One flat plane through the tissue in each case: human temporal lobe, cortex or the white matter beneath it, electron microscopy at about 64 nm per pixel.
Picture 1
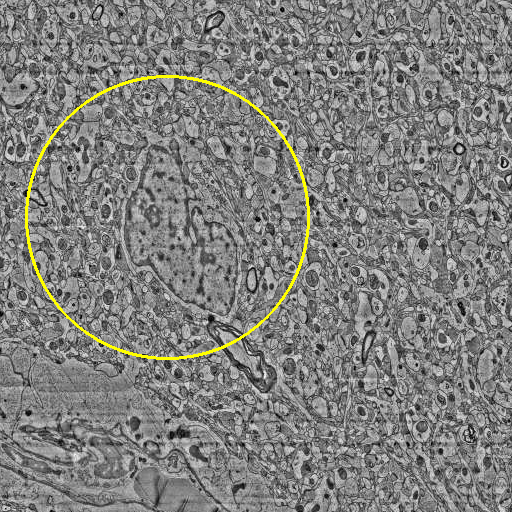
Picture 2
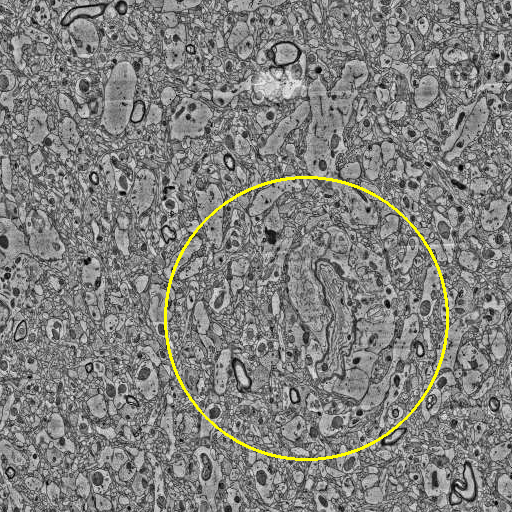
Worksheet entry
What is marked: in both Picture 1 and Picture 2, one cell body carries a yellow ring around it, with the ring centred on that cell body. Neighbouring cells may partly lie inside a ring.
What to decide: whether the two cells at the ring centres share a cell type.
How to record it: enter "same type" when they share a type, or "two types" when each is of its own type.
two types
